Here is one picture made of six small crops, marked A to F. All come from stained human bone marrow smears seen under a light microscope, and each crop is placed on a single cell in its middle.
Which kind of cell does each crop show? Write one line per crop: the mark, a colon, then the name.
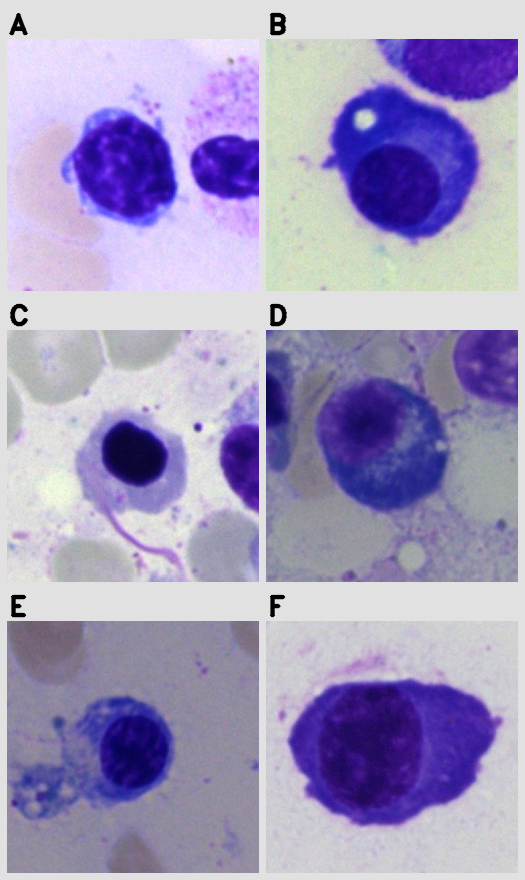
A: lymphocyte
B: plasma cell
C: erythroblast
D: plasma cell
E: erythroblast
F: plasma cell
